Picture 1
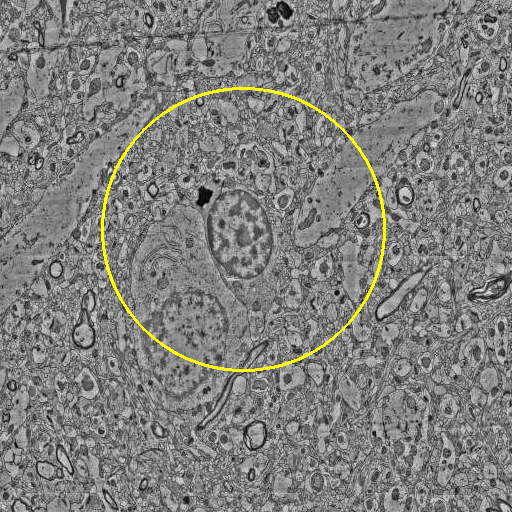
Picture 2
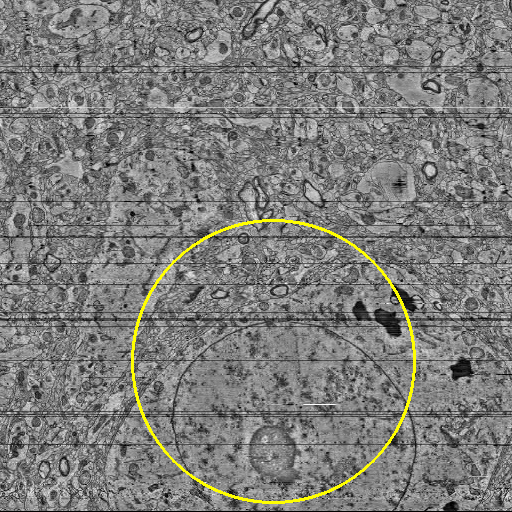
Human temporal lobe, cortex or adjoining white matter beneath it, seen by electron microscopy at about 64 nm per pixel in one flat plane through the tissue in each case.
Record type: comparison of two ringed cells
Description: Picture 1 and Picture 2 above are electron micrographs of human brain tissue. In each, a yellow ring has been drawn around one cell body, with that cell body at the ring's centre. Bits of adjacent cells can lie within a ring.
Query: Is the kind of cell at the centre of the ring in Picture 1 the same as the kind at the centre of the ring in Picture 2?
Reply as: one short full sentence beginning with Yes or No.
No, the two ringed cells are of two separate kinds.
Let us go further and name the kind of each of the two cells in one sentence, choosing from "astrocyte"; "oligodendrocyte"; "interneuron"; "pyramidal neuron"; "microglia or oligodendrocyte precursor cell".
The ring of the first picture is on an oligodendrocyte, the ring of the second on a pyramidal neuron.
